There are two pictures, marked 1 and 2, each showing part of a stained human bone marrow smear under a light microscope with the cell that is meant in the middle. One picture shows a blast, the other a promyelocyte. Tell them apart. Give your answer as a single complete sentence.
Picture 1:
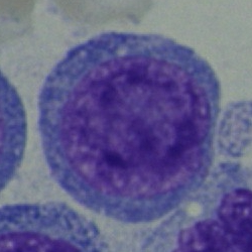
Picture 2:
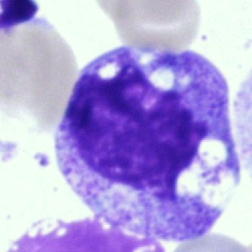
It is picture 1 that shows a blast, and picture 2 that shows a promyelocyte.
